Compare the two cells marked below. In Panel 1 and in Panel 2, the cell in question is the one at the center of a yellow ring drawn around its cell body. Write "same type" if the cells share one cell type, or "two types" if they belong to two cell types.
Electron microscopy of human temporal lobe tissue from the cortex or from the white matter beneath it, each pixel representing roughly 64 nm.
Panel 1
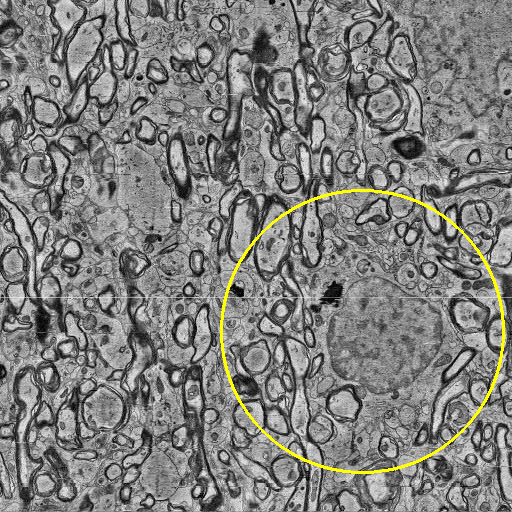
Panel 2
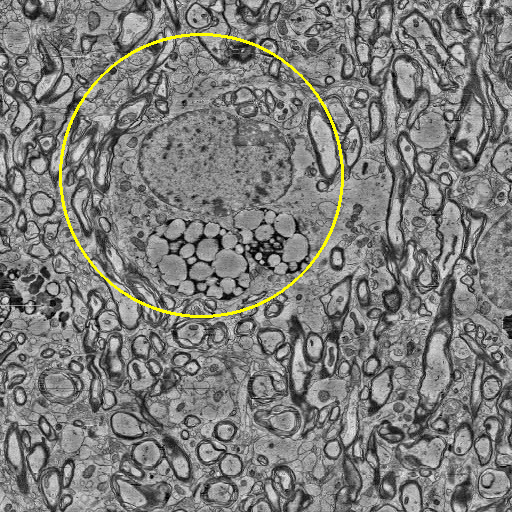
two types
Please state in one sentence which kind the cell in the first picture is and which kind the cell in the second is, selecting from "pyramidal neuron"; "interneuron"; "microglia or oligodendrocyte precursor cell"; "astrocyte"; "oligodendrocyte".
The first ringed cell is an oligodendrocyte, the second ringed cell an astrocyte.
